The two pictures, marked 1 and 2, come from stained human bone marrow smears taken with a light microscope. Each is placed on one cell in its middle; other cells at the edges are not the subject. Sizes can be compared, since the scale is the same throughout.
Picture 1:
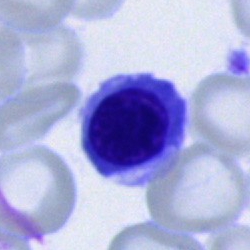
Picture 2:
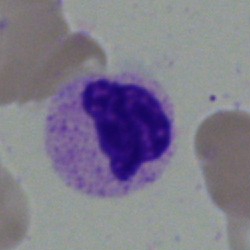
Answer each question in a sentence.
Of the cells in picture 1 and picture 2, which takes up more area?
It is the cell in picture 2, about 1.5 times as large in area as the cell in picture 1.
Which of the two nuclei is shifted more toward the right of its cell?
The nucleus in picture 2 lies further toward the right of its cell.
